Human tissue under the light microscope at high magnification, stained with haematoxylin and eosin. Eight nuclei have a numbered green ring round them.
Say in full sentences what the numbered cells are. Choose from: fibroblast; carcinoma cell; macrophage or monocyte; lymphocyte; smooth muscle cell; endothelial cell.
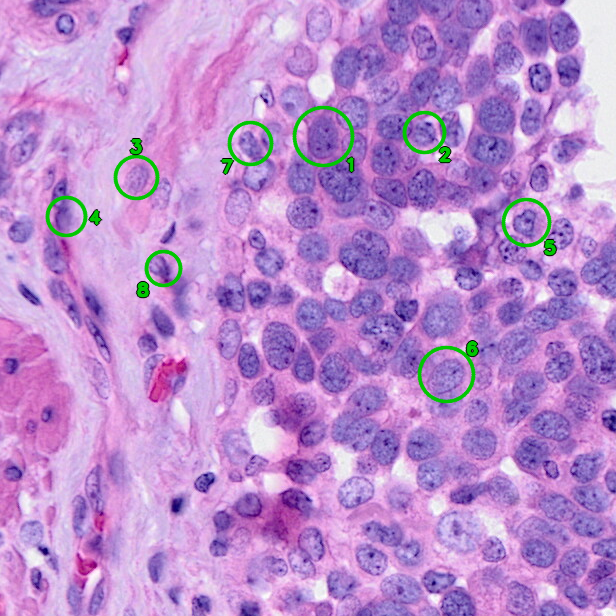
Cells 1 and 6 are carcinoma cells. Cells 2, 5 and 7 are macrophages or monocytes. Cell 3 is a smooth muscle cell. Cells 4 and 8 are endothelial cells.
